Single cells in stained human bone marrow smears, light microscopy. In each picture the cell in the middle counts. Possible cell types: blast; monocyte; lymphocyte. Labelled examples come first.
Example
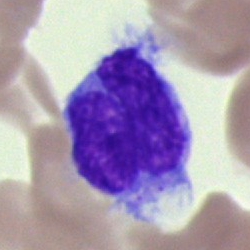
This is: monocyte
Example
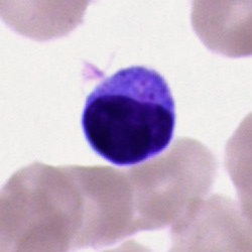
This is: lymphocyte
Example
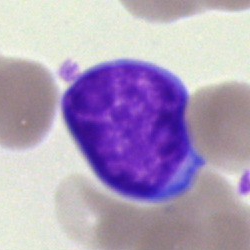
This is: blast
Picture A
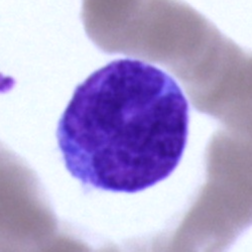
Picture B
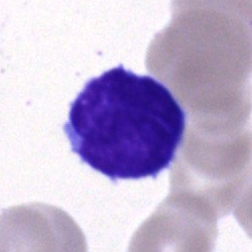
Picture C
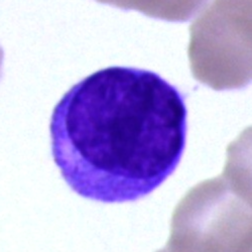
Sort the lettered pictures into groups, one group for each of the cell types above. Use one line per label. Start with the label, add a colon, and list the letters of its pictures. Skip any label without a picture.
blast: A, C
lymphocyte: B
